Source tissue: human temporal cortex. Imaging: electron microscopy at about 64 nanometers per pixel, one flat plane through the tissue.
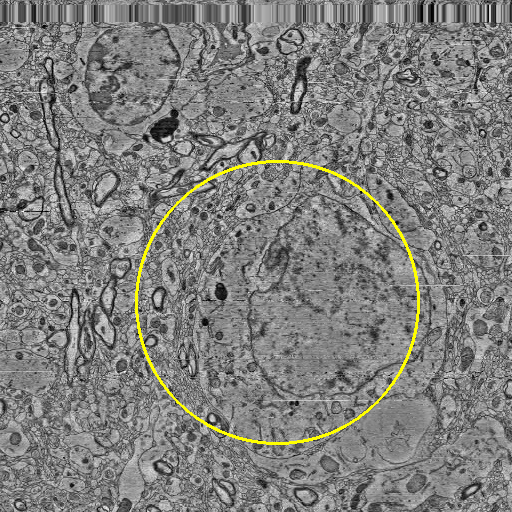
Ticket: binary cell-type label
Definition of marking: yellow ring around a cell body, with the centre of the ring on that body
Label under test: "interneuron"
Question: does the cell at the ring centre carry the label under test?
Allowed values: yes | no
no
